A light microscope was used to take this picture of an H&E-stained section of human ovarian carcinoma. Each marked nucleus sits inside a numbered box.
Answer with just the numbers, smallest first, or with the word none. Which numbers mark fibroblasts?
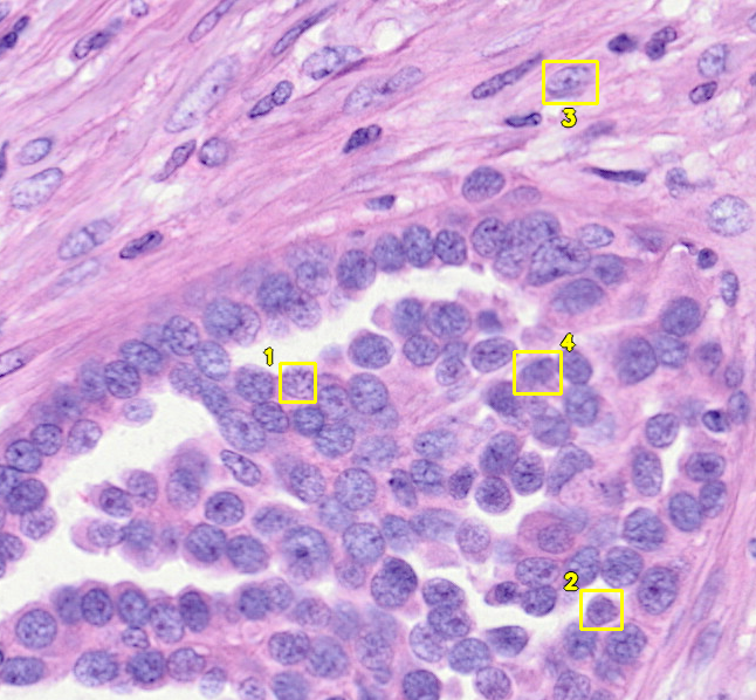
3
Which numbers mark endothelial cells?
none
